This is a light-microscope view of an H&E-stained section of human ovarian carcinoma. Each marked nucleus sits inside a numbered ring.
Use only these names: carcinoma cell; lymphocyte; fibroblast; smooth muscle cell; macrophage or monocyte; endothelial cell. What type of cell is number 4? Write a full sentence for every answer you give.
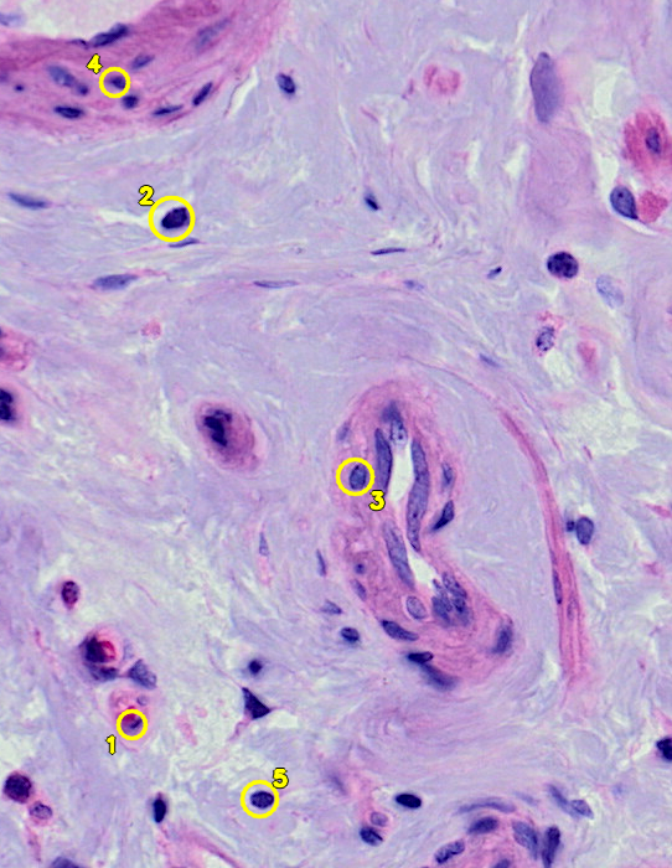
Identified by the number 4, the cell is a smooth muscle cell.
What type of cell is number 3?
The cell identified by the number 3 is a smooth muscle cell.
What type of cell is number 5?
Cell 5, as marked in the section, is a lymphocyte.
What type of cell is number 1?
The cell given label 1 is an endothelial cell.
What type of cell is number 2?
The mark numbered 2 indicates the nucleus of a lymphocyte.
